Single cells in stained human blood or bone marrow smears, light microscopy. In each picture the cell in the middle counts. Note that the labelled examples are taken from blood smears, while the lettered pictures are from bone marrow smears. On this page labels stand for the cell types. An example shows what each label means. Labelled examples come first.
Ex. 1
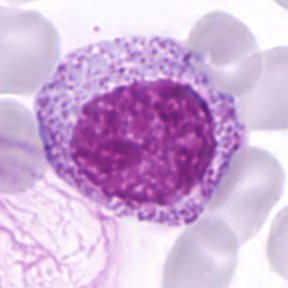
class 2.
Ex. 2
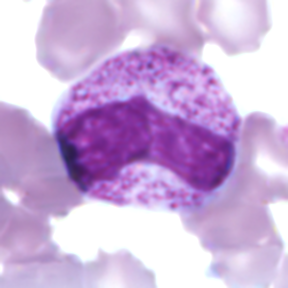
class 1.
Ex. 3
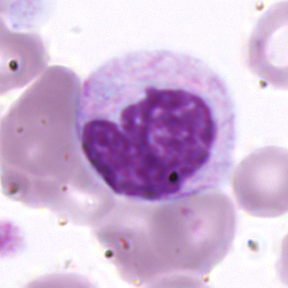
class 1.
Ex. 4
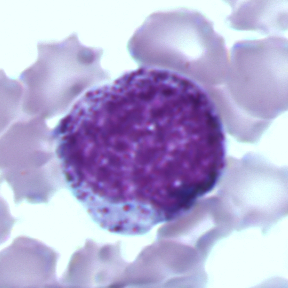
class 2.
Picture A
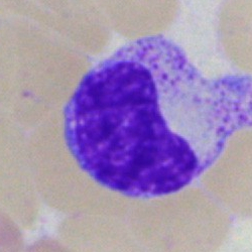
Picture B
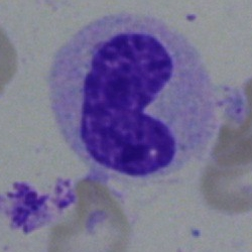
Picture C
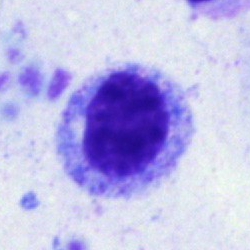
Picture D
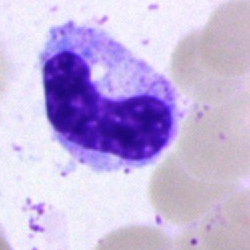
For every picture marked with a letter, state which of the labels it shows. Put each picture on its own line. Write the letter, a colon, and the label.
A: class 2.
B: class 1.
C: class 2.
D: class 1.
